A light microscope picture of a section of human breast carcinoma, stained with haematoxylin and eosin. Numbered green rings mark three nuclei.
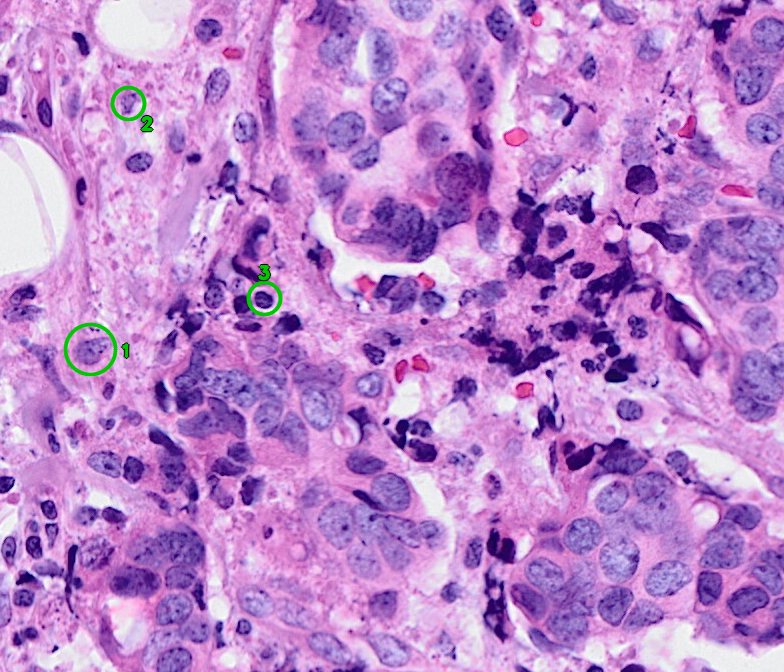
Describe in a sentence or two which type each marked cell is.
Cell 1 is a macrophage, monocyte or dendritic cell, cell 2 is a macrophage, monocyte or dendritic cell and cell 3 is a lymphocyte.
